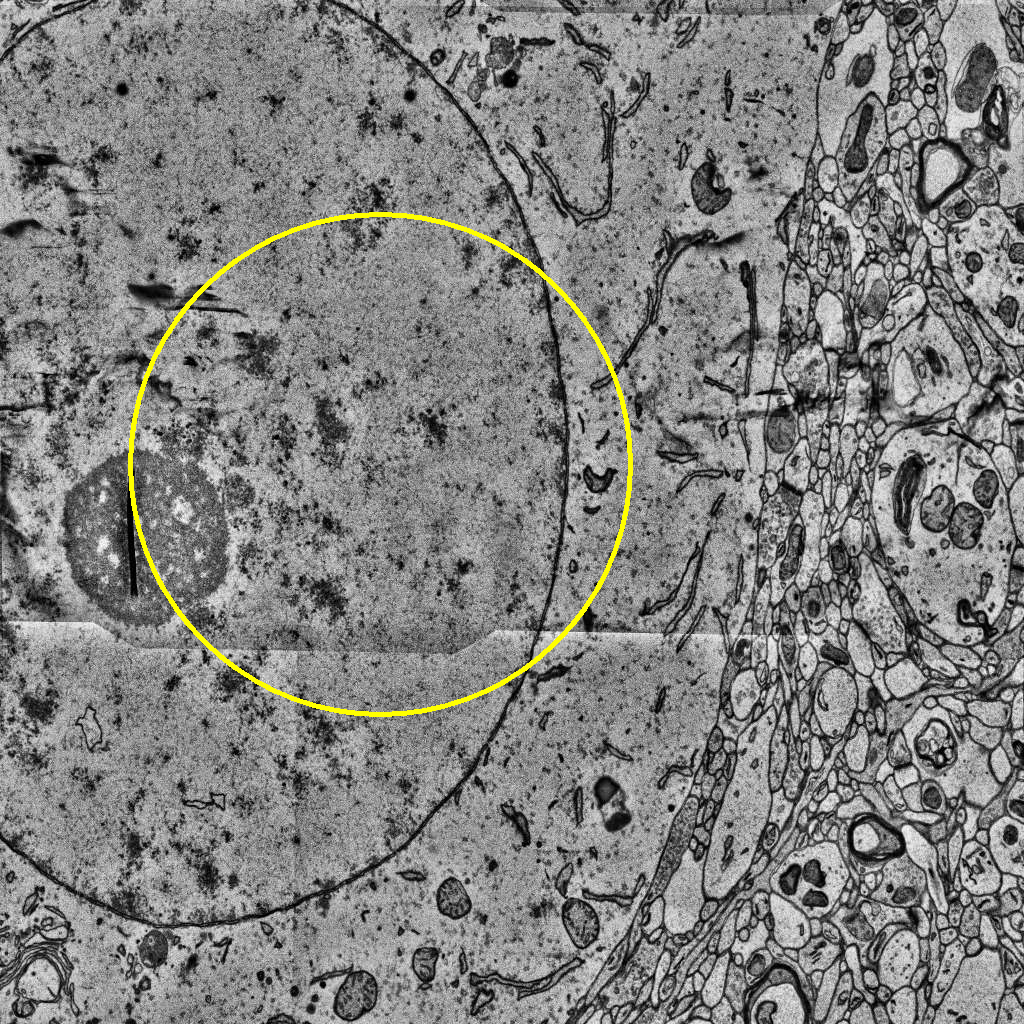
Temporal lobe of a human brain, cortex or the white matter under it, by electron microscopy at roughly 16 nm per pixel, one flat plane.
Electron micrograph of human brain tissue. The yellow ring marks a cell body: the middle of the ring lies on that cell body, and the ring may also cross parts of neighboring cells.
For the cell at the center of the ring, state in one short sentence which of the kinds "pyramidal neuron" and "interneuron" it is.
This ring's center lies on a pyramidal neuron.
